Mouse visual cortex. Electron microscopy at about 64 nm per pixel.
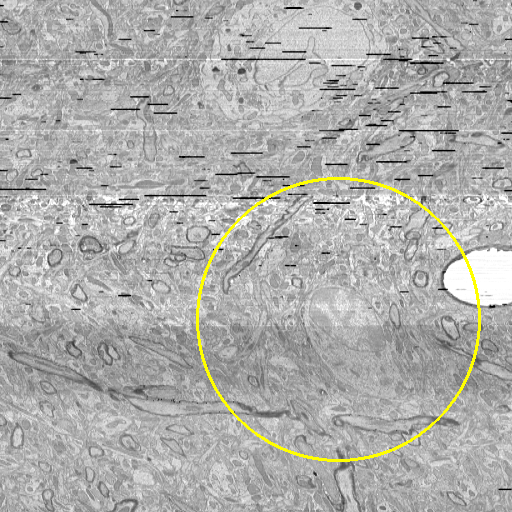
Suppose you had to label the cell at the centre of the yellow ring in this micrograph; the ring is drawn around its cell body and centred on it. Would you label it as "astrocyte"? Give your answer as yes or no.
No, I would label it as another kind.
